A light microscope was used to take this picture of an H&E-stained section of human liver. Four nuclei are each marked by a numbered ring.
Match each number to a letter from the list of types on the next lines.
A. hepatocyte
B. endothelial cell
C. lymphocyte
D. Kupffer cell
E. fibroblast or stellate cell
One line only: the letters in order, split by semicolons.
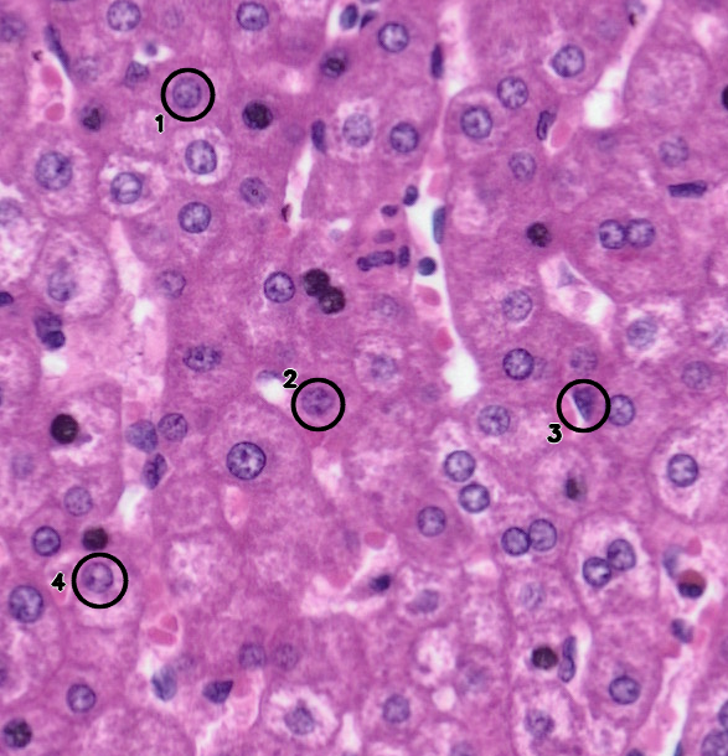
A; A; B; A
